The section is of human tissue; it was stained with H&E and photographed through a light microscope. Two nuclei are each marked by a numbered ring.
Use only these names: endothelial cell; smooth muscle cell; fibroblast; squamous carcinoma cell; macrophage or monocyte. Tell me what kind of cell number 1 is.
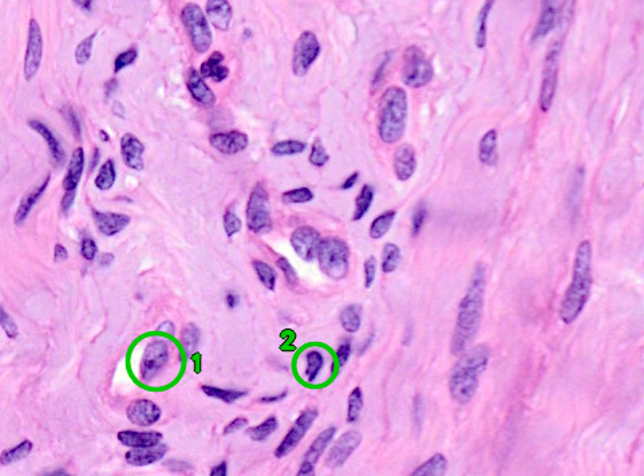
endothelial cell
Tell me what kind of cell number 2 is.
fibroblast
